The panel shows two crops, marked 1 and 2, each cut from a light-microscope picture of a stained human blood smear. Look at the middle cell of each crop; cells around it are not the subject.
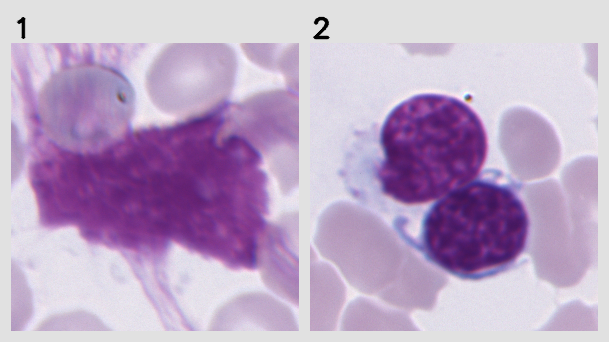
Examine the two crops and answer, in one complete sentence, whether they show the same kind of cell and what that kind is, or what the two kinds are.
No, in crop 1 the cell is a smudge cell, and in crop 2 it is a myeloblast.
